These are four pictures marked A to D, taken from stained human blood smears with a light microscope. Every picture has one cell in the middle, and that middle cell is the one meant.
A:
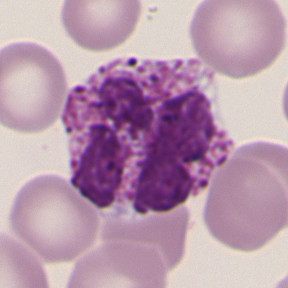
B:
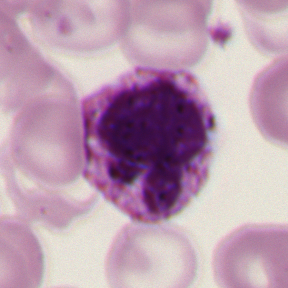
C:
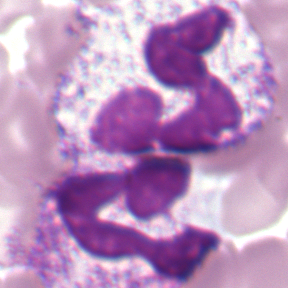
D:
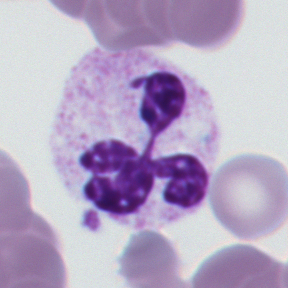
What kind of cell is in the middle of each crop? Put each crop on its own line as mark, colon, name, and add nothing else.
A: basophil
B: basophil
C: segmented neutrophil
D: segmented neutrophil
